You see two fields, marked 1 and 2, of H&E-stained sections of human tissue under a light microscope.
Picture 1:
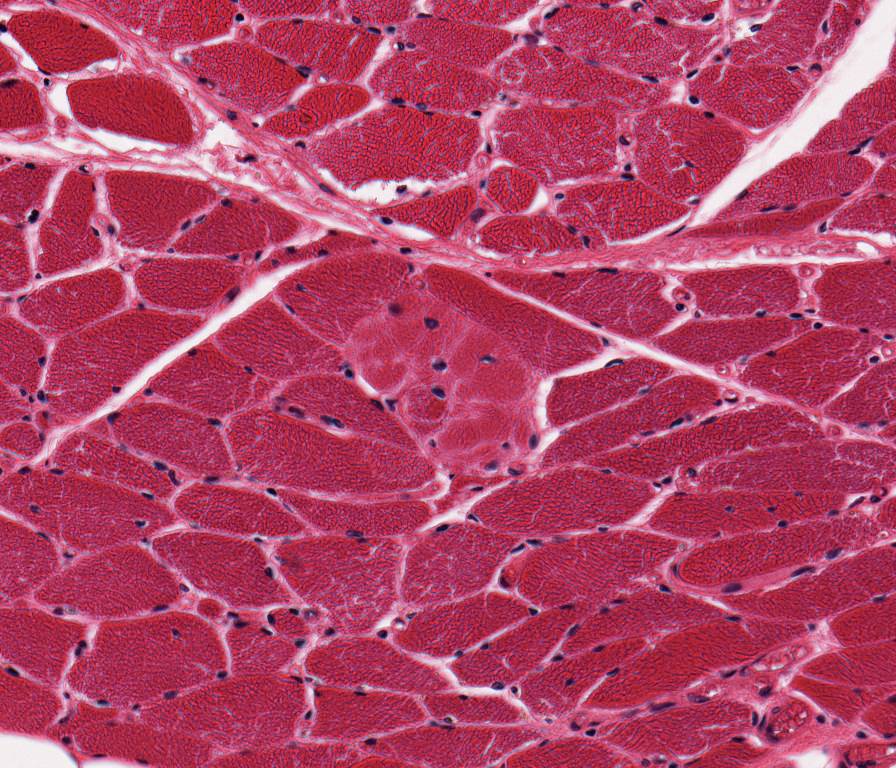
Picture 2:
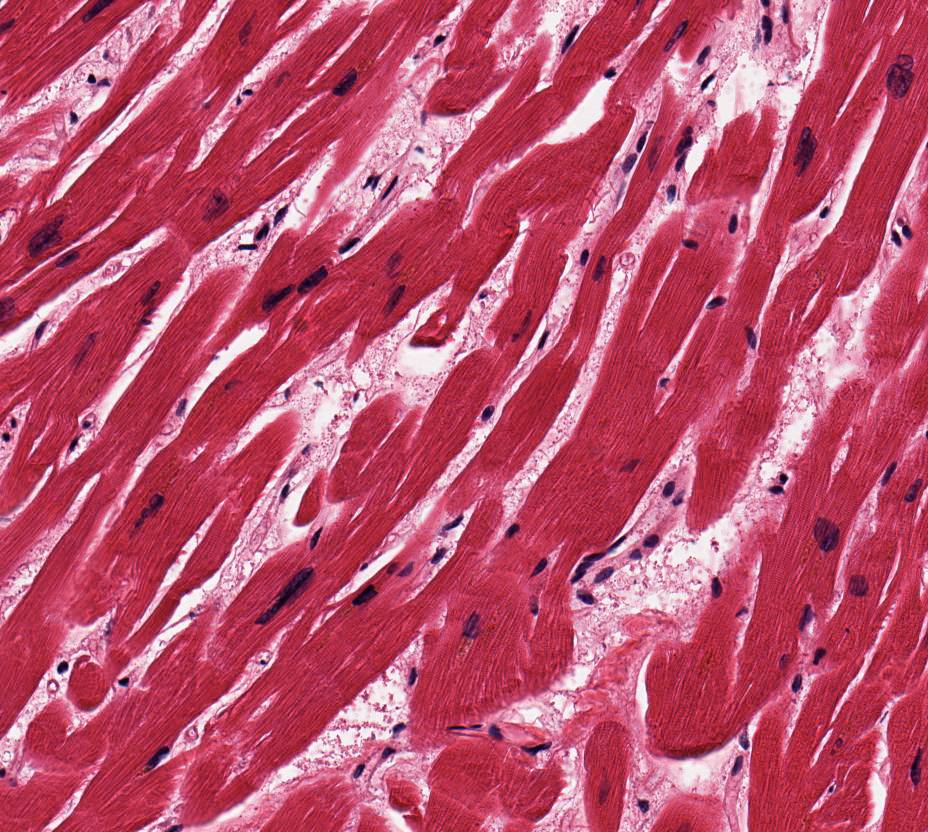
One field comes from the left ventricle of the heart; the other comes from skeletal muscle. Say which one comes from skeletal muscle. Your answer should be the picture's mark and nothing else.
1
